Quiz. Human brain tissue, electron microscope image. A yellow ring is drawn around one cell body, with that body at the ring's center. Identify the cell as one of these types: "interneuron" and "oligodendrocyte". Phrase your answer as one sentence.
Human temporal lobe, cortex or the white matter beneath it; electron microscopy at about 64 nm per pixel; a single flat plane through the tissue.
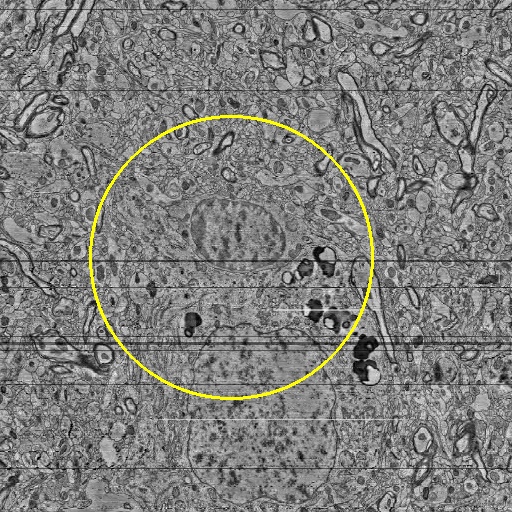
At the center of the ring sits an oligodendrocyte.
